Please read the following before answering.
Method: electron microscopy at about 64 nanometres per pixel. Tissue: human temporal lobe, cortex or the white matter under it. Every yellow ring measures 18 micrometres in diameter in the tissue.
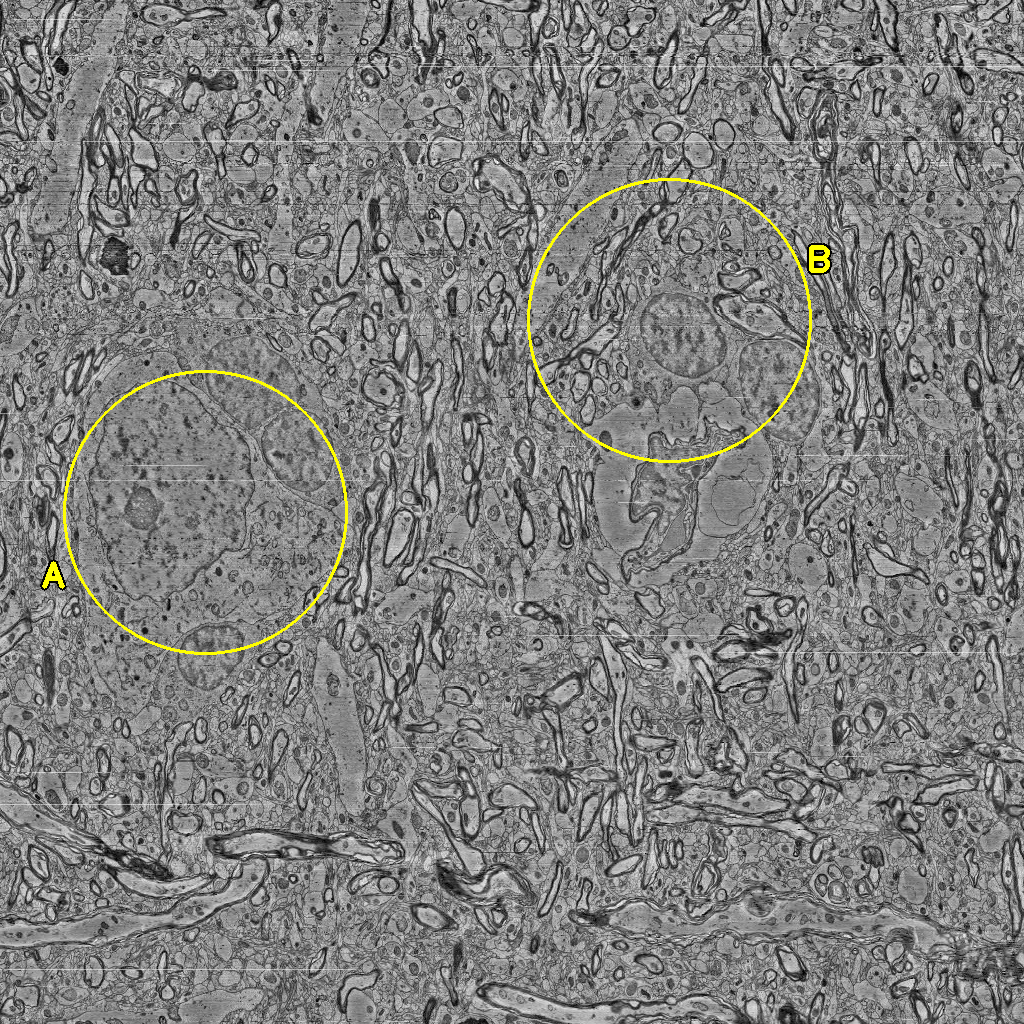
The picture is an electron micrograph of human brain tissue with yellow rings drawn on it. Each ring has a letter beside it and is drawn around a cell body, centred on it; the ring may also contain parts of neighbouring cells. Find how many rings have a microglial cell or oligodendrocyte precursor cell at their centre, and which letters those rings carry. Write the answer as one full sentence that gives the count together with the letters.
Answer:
Every lettered ring is centred on something other than a microglial cell or oligodendrocyte precursor cell, so the count is zero.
